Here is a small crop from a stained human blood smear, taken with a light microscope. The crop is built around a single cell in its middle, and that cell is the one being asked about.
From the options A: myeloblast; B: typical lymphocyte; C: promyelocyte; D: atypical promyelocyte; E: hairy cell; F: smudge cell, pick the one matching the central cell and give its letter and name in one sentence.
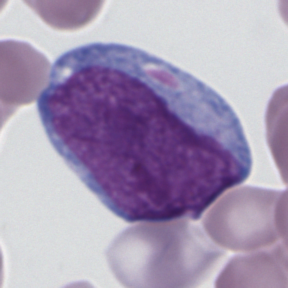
The cell in the middle is correctly identified as a myeloblast in option A.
